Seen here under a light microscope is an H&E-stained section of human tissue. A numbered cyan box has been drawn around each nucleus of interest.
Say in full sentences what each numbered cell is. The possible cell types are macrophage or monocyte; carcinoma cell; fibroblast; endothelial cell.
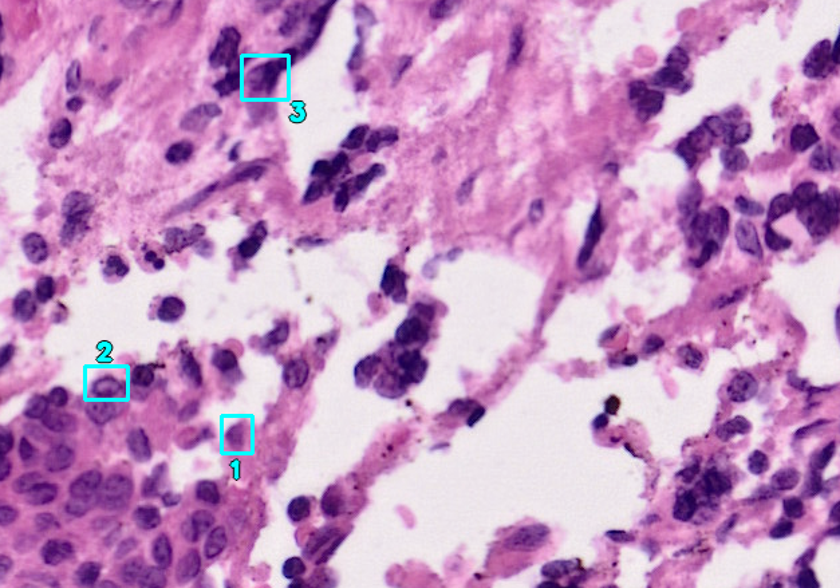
Cells 1 and 2 are macrophages or monocytes. Cell 3 is a carcinoma cell.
